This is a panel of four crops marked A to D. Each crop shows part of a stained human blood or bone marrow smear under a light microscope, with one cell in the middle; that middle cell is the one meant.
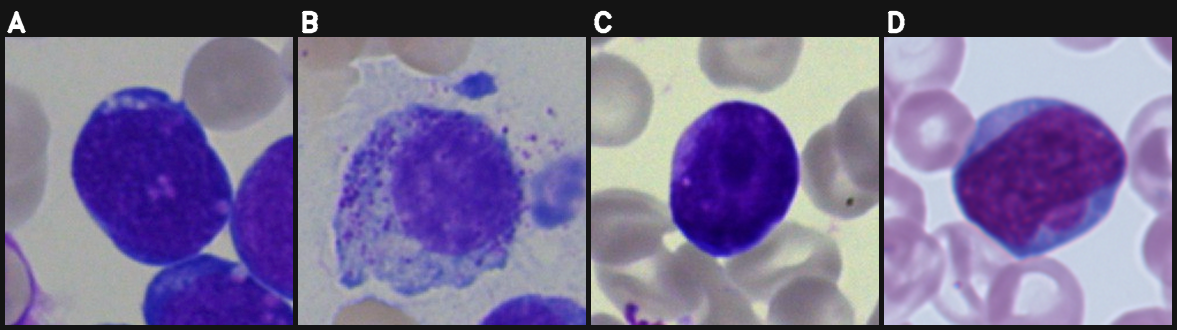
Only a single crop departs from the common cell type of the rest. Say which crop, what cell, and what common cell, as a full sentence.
Of these crops, only crop B is a myelocyte; the others are blasts.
